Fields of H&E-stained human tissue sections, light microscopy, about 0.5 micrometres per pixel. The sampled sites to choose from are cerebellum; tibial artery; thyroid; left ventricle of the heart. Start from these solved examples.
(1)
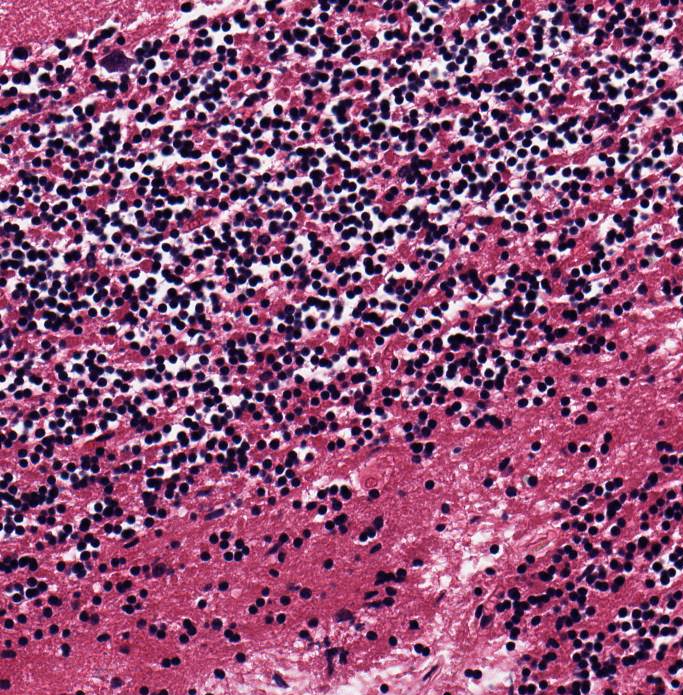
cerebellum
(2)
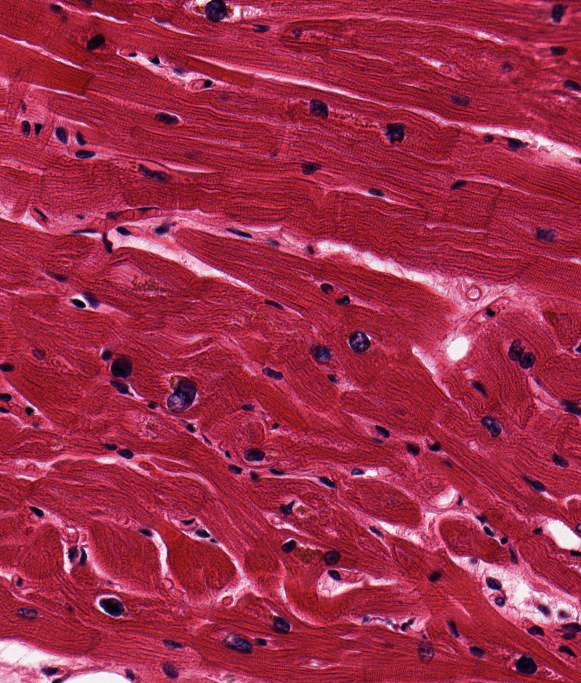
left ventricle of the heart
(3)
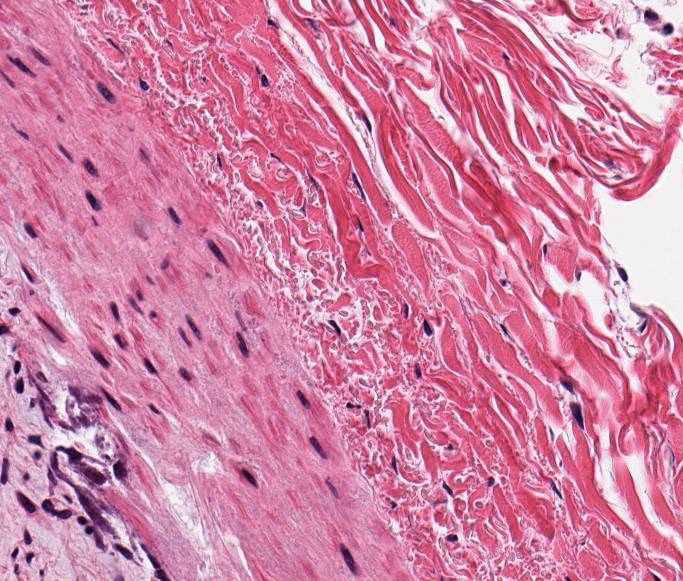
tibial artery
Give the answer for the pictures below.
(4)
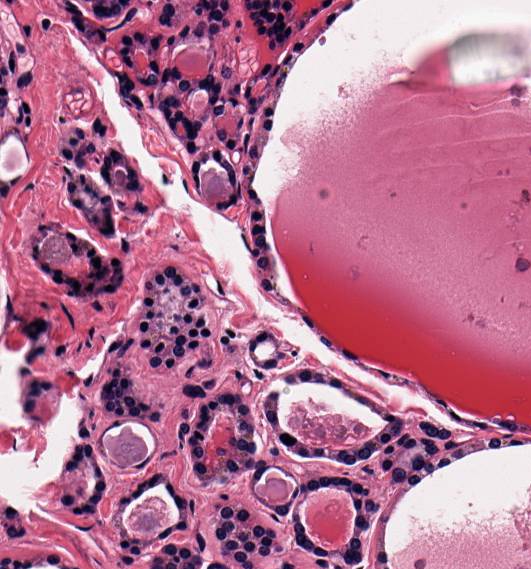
thyroid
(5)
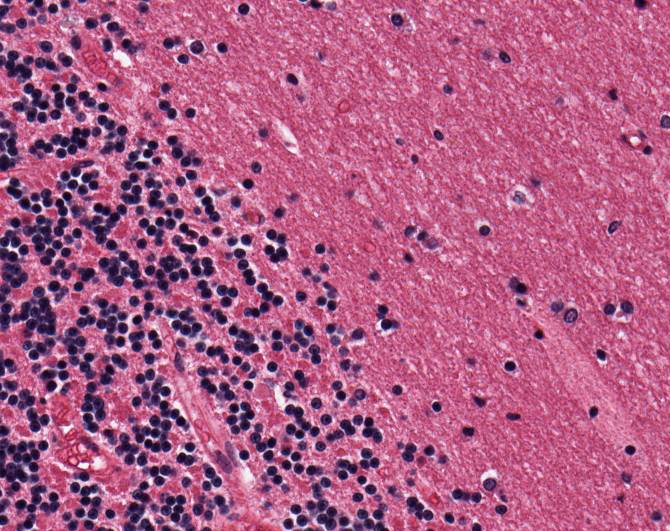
cerebellum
